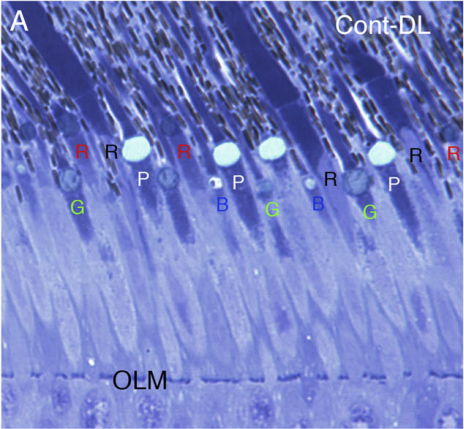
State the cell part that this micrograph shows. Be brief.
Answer: Photoreceptor outer and inner segments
